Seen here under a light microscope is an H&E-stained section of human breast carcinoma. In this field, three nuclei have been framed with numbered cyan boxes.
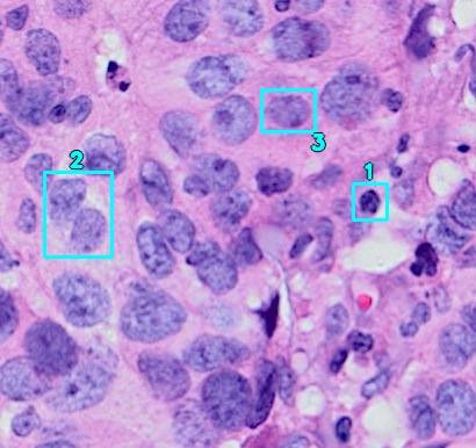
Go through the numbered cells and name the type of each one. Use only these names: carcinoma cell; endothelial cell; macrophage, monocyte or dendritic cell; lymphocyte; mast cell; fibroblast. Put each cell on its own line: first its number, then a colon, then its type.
1: lymphocyte
2: carcinoma cell
3: carcinoma cell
